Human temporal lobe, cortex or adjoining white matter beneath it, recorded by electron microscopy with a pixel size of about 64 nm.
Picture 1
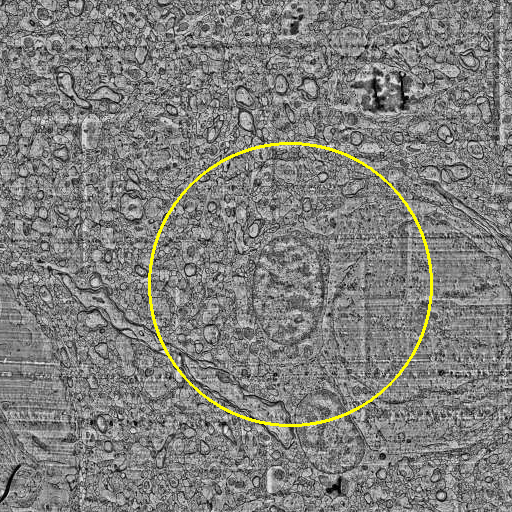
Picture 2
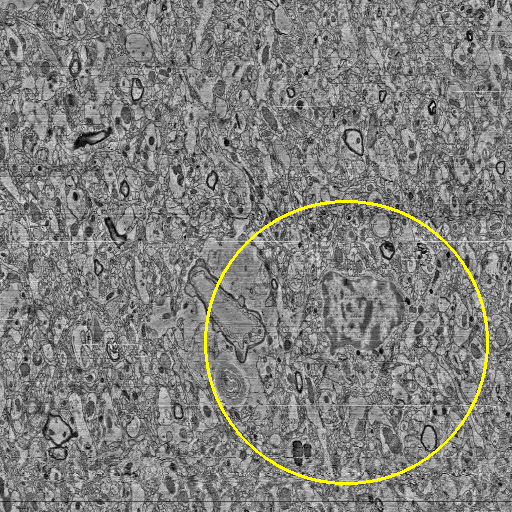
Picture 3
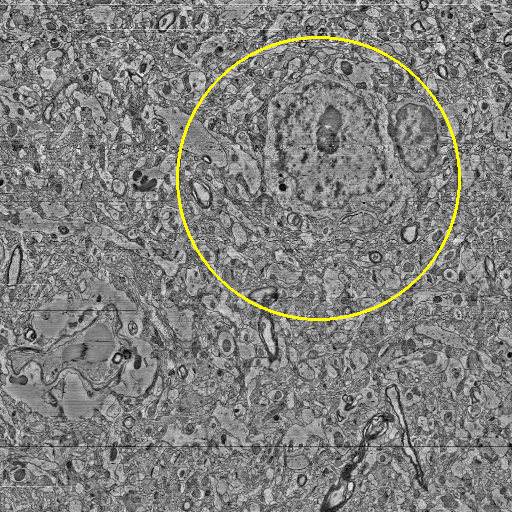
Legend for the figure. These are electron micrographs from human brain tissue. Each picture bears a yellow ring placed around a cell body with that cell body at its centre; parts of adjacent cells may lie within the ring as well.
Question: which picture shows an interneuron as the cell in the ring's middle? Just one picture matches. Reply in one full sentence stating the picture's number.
It is picture 3 whose yellow ring is centred on the requested cell.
